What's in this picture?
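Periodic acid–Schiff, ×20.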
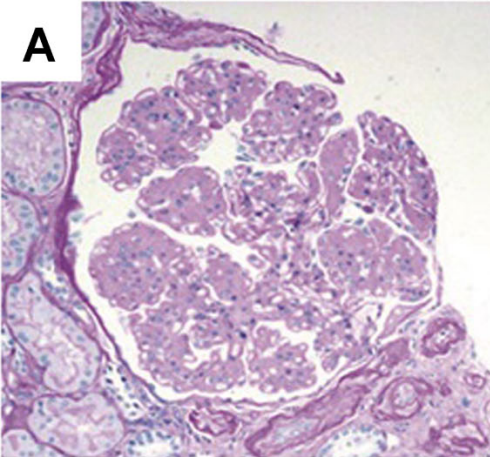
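This is a glomerulus cut across, its tuft broken up into several rounded lobules separated by clefts, lying in a clear space inside its capsule. Tubules and a small vessel lie around the capsule.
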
